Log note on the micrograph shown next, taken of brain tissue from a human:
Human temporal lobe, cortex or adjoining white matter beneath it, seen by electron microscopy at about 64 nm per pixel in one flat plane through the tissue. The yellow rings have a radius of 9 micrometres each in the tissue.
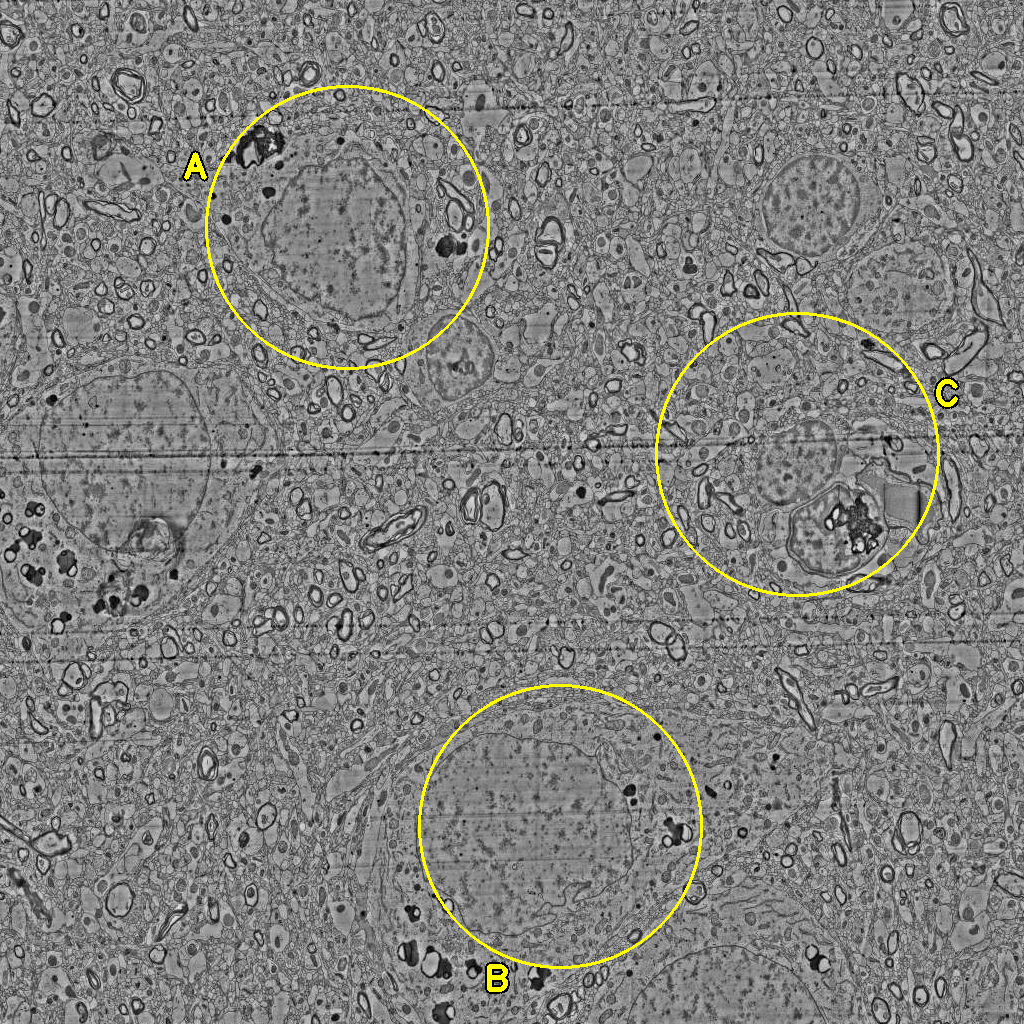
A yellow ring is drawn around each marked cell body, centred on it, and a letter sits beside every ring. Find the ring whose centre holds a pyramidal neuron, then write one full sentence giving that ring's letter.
In the picture, the cell asked for sits at the centre of ring B.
